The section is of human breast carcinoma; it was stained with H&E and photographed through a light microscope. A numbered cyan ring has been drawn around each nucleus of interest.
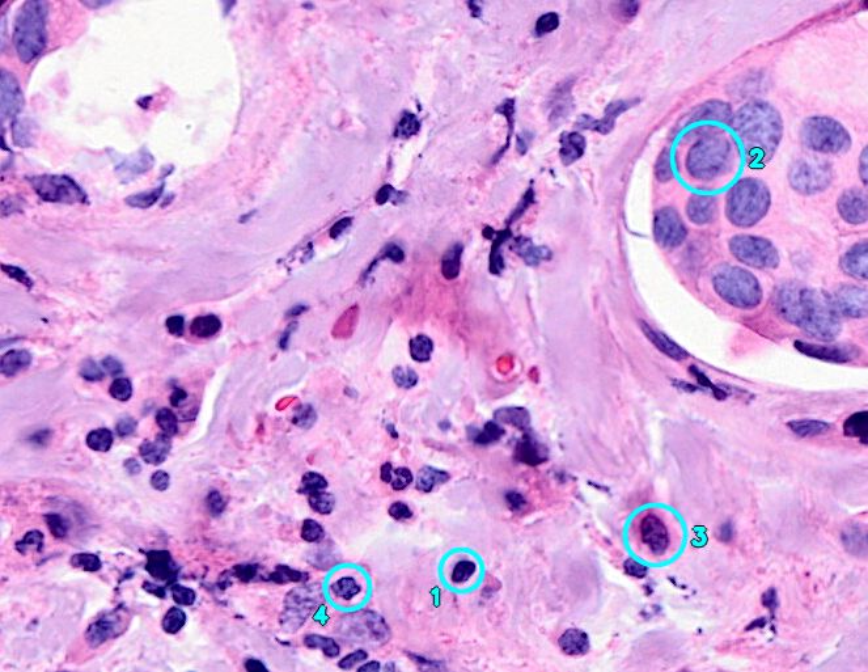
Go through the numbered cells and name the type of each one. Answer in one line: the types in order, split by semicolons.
lymphocyte; carcinoma cell; mast cell; lymphocyte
